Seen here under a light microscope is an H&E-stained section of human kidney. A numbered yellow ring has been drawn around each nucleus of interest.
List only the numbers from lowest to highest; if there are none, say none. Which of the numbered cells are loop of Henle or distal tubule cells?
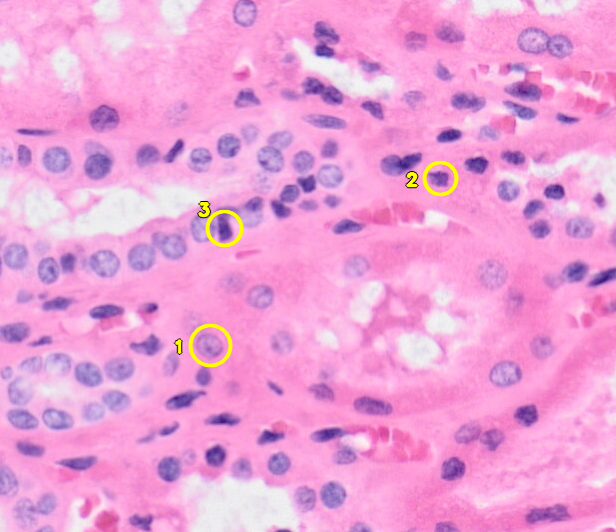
2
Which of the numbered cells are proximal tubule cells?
1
